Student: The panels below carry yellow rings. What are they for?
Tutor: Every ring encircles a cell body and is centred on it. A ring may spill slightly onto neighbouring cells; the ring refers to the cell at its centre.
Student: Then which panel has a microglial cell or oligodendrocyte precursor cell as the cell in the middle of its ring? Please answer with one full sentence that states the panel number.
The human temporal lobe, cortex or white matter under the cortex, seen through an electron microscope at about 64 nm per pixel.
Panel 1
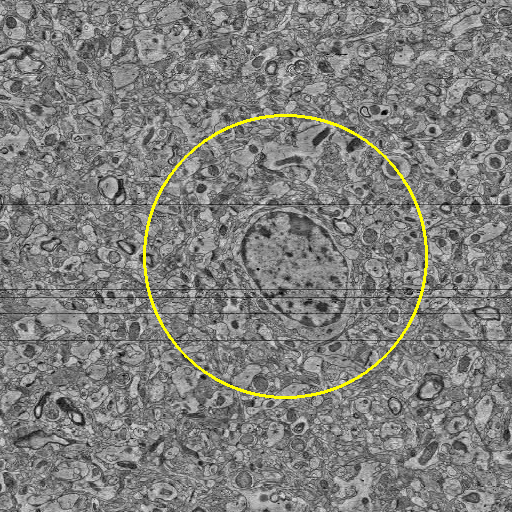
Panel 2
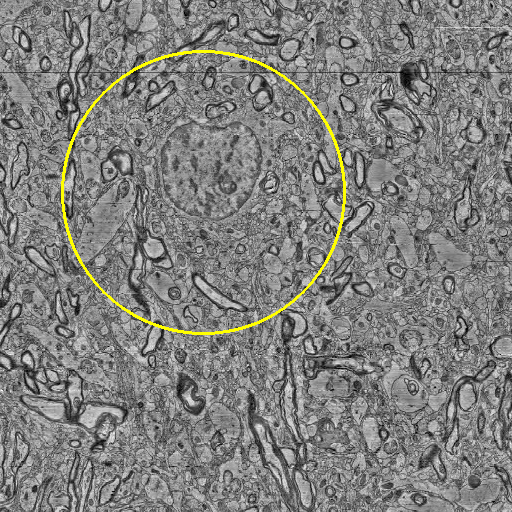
In Panel 1, the cell centred in the ring is the one sought.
